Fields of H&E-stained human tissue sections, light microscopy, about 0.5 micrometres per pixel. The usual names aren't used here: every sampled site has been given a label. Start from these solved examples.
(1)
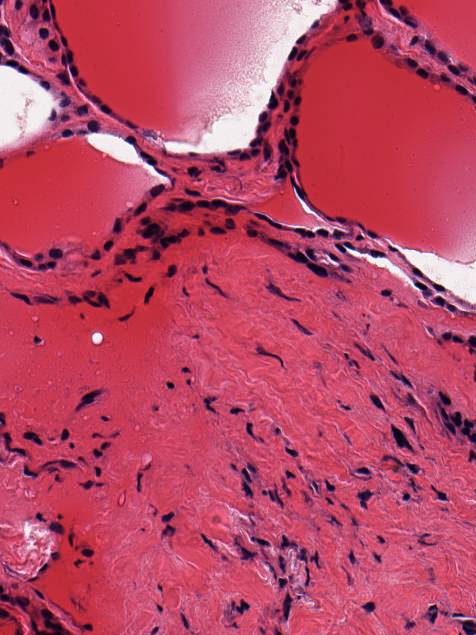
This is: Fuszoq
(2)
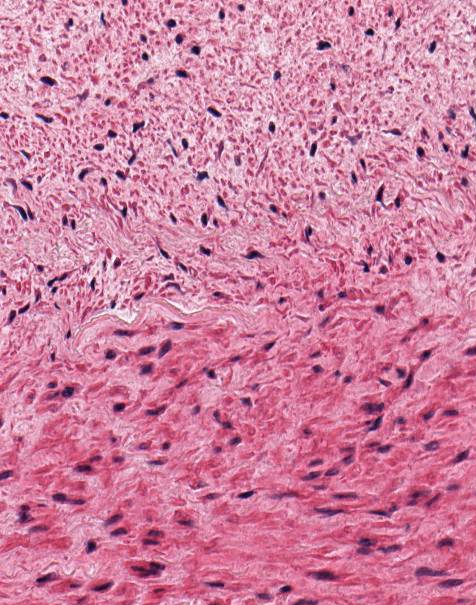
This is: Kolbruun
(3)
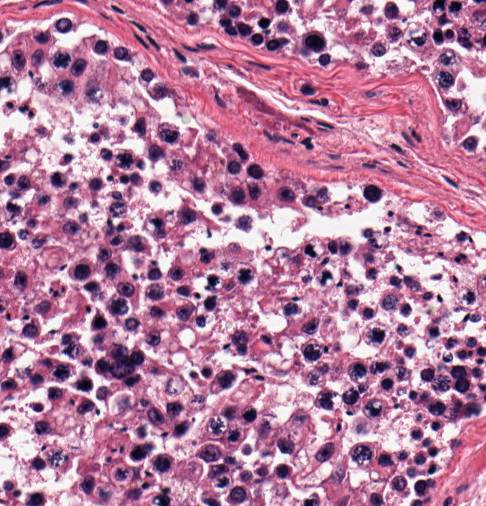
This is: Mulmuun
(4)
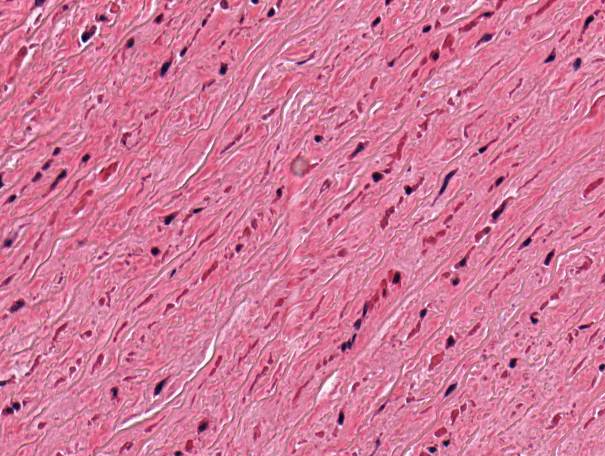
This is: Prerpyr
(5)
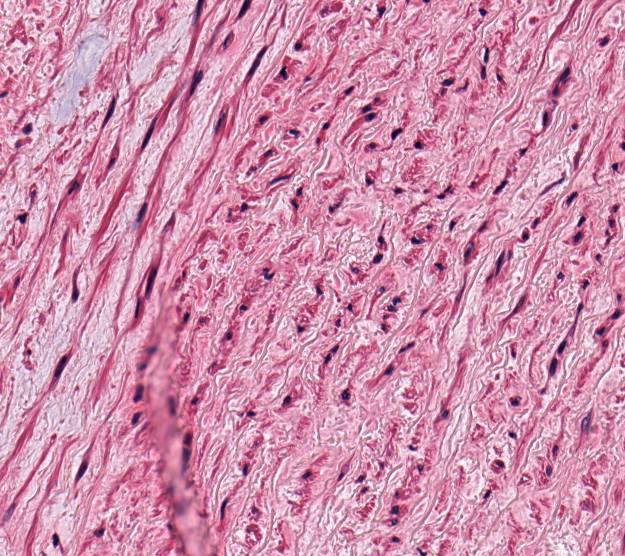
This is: Prerpyr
